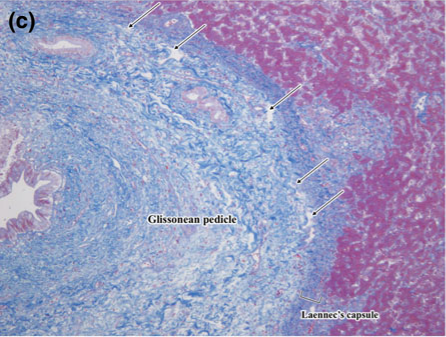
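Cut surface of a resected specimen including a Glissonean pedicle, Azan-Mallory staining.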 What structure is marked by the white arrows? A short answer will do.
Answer: Gaps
